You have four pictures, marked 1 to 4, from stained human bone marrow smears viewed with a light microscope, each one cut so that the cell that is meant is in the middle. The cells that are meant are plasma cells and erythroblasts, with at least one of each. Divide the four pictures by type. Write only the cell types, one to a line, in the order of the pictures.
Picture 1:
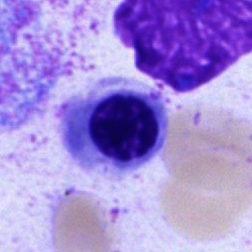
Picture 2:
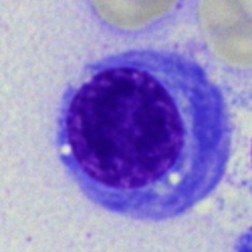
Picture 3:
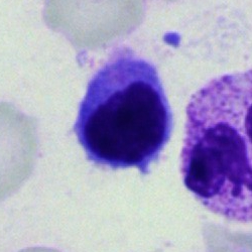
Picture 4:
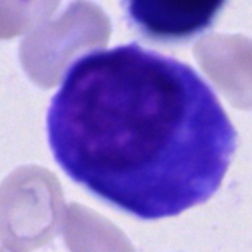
erythroblast
erythroblast
erythroblast
plasma cell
